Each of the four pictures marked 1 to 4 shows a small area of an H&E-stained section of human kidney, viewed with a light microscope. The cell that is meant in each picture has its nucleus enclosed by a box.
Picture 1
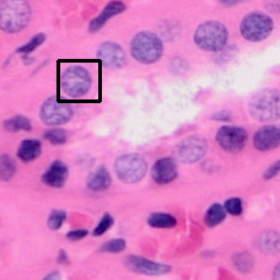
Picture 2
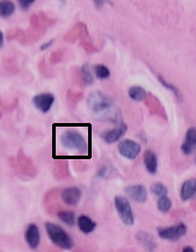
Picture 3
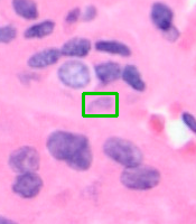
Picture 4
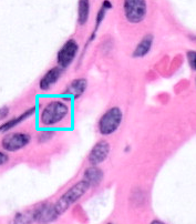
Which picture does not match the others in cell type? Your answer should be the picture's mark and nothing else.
2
